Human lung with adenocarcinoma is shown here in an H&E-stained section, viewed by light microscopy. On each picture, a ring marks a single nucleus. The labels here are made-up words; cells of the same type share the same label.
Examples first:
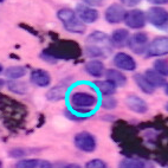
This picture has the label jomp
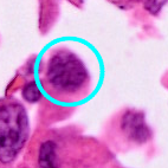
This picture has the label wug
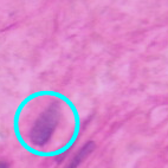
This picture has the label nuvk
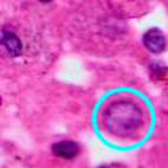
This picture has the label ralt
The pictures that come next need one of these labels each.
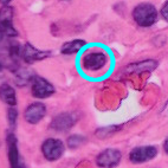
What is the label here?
jomp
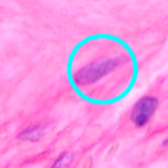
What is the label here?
nuvk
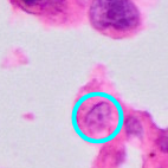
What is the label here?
ralt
